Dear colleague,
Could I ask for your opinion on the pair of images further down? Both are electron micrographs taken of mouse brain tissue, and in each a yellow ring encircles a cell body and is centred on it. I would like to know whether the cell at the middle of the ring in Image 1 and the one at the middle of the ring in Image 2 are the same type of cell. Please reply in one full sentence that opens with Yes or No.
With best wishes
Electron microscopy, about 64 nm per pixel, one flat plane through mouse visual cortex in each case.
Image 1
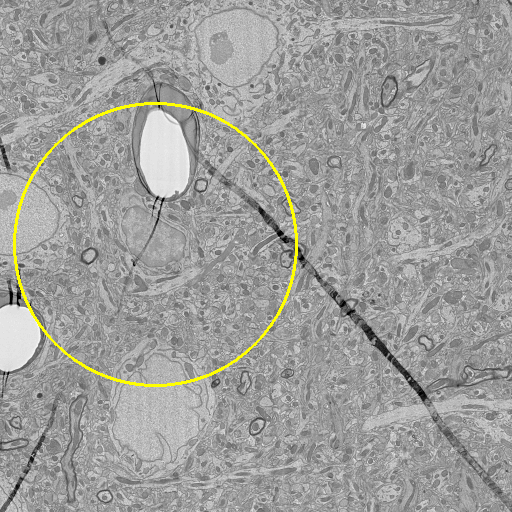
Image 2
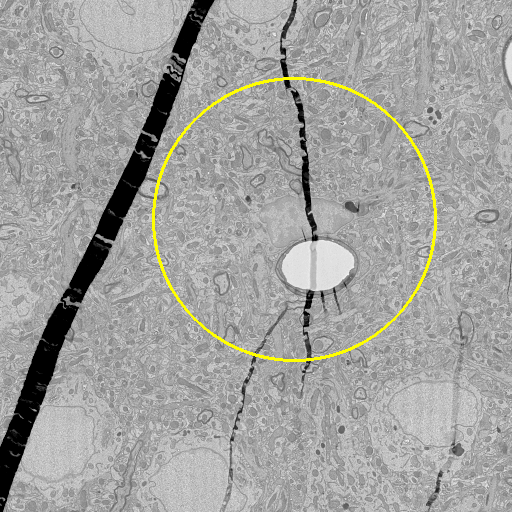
Yes, the cells at the ring centres in Image 1 and Image 2 are of one type.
